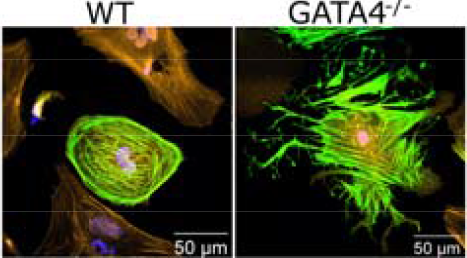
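In the left field the green cell is compact and oval, with a smooth outline and fine parallel green filaments running across its cytoplasm around a central nucleus. The orange neighbouring cells are large, flat and spread, with nuclei visible as small rounded bodies. In the right field the green cell has an irregular outline, with many long, thin, branching membrane extensions reaching out from its edges. Its green filaments are less orderly than those of the cell on the left.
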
